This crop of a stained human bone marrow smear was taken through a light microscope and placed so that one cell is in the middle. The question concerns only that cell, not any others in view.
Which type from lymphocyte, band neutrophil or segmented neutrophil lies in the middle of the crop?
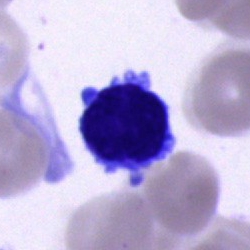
lymphocyte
